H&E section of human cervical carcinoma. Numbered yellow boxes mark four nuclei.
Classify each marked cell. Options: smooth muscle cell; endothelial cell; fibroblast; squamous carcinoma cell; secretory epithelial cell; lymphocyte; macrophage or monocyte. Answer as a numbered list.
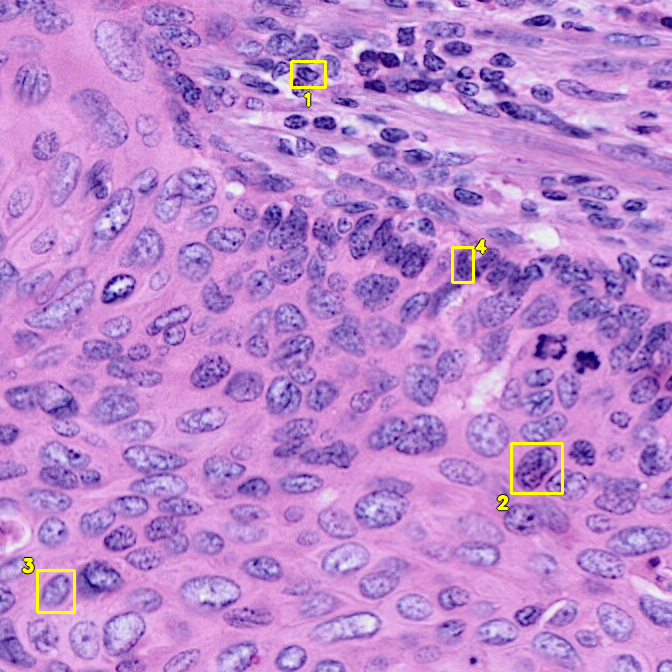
1. lymphocyte
2. squamous carcinoma cell
3. squamous carcinoma cell
4. squamous carcinoma cell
